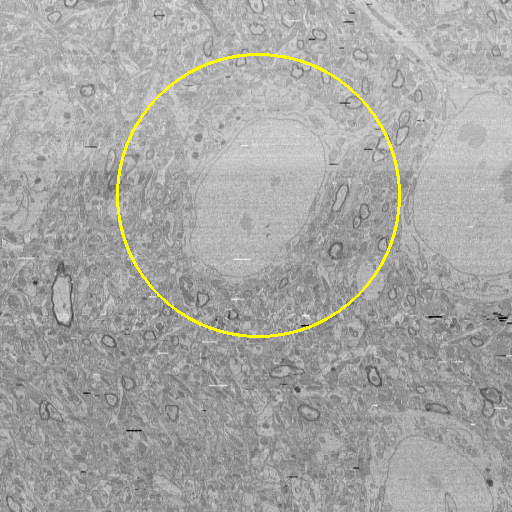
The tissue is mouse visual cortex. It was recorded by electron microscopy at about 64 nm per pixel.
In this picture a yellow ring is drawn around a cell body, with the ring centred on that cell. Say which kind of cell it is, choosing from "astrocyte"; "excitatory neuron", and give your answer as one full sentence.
Here it is an excitatory neuron that sits at the centre of the drawn yellow ring.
